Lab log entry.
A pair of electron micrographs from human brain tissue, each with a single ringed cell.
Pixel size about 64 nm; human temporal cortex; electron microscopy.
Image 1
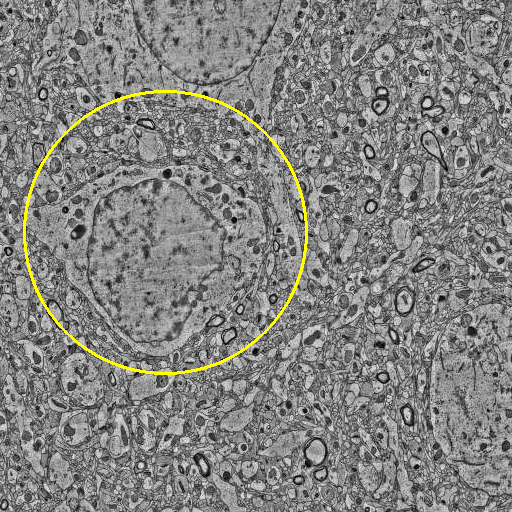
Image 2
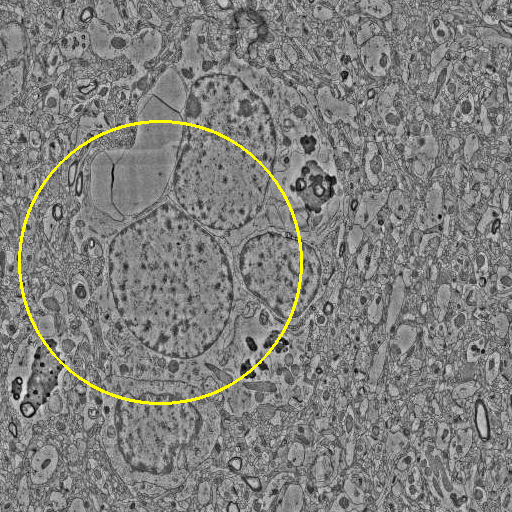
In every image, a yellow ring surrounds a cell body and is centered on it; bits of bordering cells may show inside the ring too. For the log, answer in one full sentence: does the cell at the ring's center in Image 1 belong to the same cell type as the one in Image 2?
No, the cells at the ring centers in Image 1 and Image 2 are of separate types.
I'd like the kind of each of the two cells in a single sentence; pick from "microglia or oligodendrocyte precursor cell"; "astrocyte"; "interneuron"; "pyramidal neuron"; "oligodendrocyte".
The first ring marks an interneuron, and the second ring marks an astrocyte.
